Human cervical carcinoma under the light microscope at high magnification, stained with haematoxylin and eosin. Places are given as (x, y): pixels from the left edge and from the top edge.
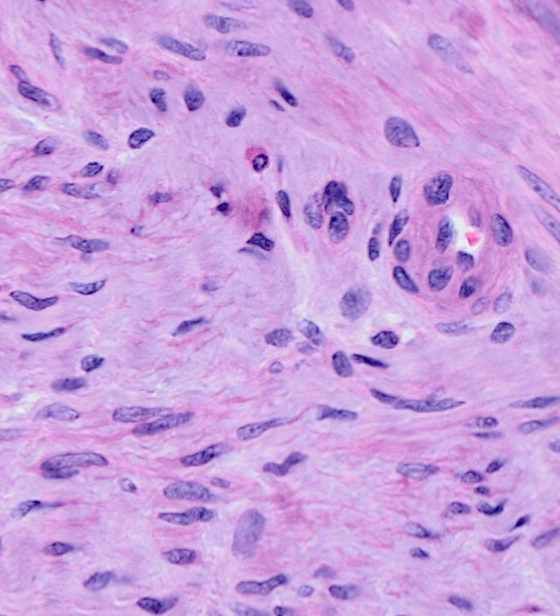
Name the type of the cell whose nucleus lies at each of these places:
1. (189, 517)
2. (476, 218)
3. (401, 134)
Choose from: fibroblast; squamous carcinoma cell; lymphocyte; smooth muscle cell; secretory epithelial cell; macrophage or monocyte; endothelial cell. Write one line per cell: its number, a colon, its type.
1: smooth muscle cell
2: endothelial cell
3: fibroblast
